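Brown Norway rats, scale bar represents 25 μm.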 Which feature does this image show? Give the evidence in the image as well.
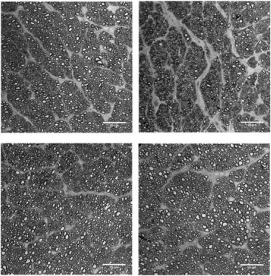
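Optic nerve axons. Many small round profiles with pale centres and dark rims packed together. Profiles are grouped into bundles separated by pale bands.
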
